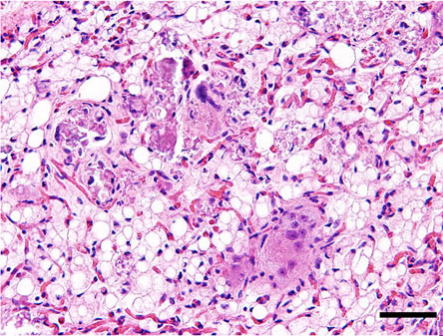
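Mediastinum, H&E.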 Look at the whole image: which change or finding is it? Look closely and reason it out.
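Granulomatous inflammation. Sheets of pale, foamy cells fill the field. Large multinucleated cells are scattered among them.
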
